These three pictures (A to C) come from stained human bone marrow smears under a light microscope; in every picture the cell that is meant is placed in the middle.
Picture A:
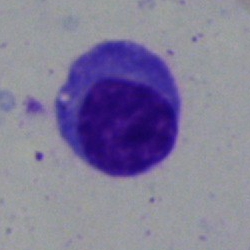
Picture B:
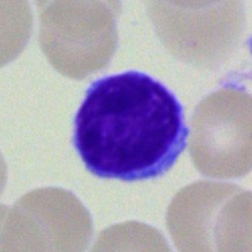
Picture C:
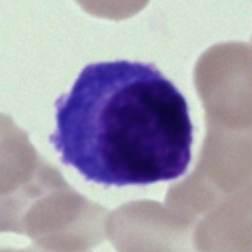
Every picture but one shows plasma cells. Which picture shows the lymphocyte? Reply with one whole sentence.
The lymphocyte is the one in picture B.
